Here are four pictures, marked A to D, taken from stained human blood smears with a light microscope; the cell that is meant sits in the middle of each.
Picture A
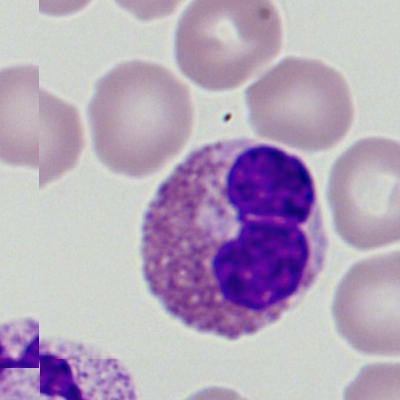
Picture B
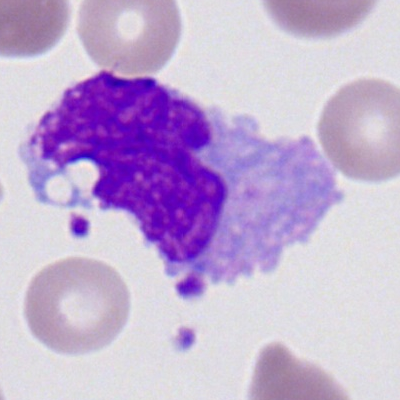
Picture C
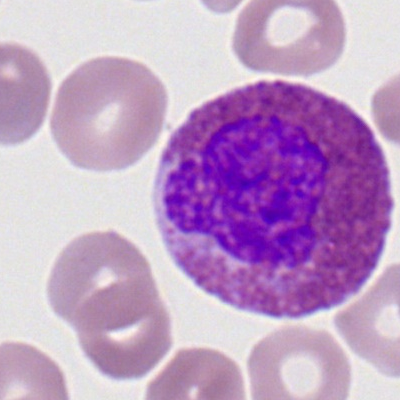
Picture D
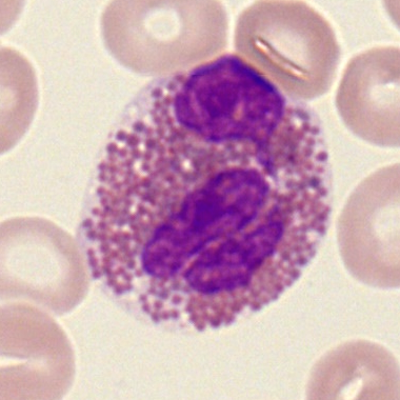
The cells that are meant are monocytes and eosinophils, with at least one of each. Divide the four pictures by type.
A: eosinophil
B: monocyte
C: eosinophil
D: eosinophil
